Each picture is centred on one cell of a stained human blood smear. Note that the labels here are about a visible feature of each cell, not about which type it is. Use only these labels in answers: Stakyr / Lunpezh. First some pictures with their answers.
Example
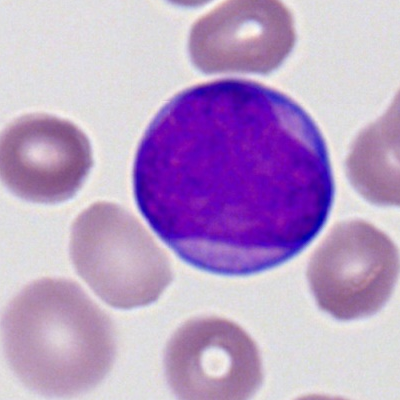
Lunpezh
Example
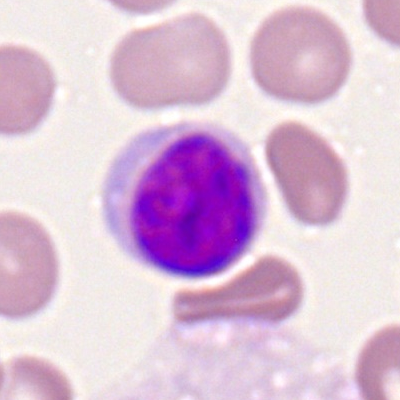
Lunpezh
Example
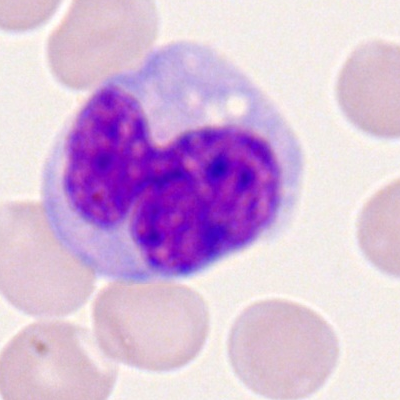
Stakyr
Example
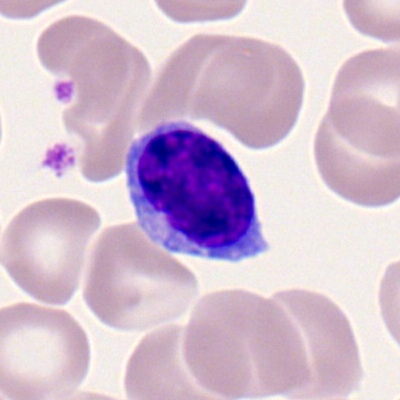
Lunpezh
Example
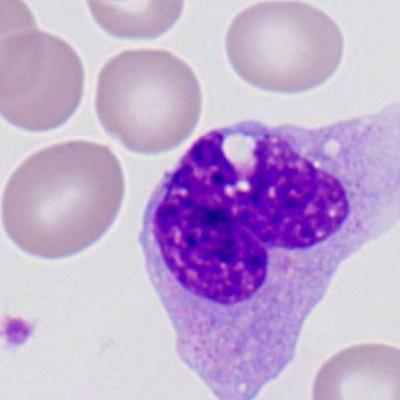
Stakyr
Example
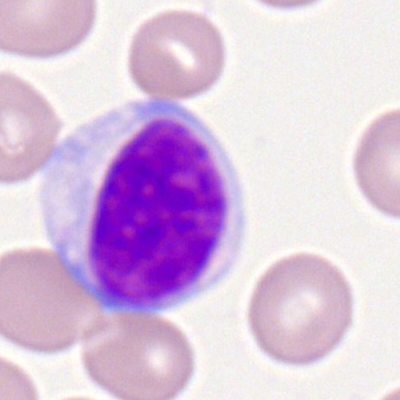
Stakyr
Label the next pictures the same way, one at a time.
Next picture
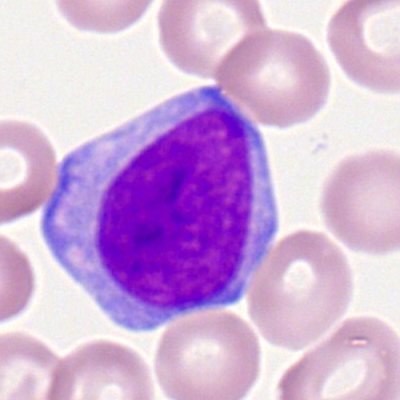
Stakyr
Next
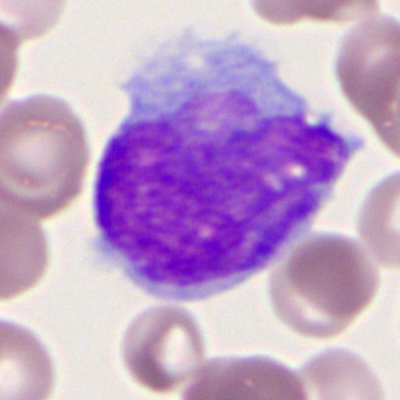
Lunpezh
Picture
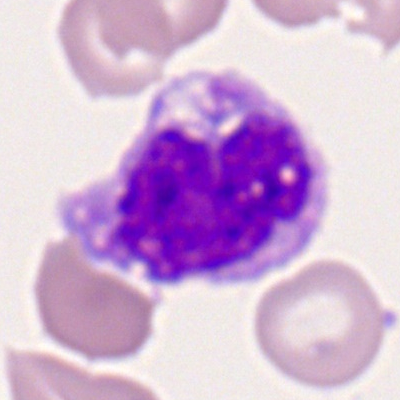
Lunpezh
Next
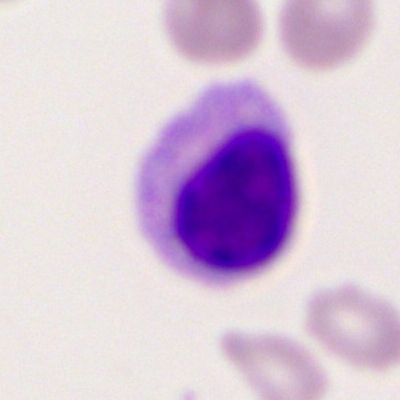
Stakyr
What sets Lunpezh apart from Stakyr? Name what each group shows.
Seen in Lunpezh: scant cytoplasm; seen in Stakyr: abundant cytoplasm.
